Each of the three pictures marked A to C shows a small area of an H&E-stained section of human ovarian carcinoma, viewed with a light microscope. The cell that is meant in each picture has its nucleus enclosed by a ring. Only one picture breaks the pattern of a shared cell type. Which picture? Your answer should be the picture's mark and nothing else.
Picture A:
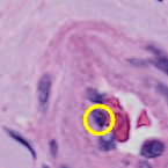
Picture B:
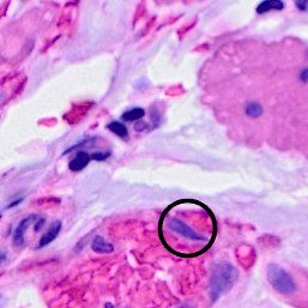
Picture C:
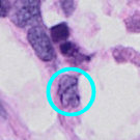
C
